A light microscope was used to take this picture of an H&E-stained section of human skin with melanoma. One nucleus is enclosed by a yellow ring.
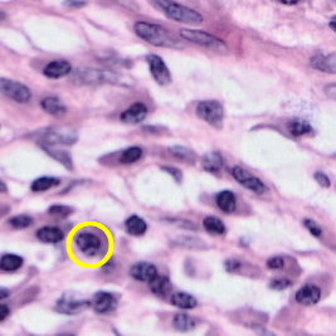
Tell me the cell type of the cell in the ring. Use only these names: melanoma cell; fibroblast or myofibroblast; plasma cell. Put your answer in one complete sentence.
This is a plasma cell.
